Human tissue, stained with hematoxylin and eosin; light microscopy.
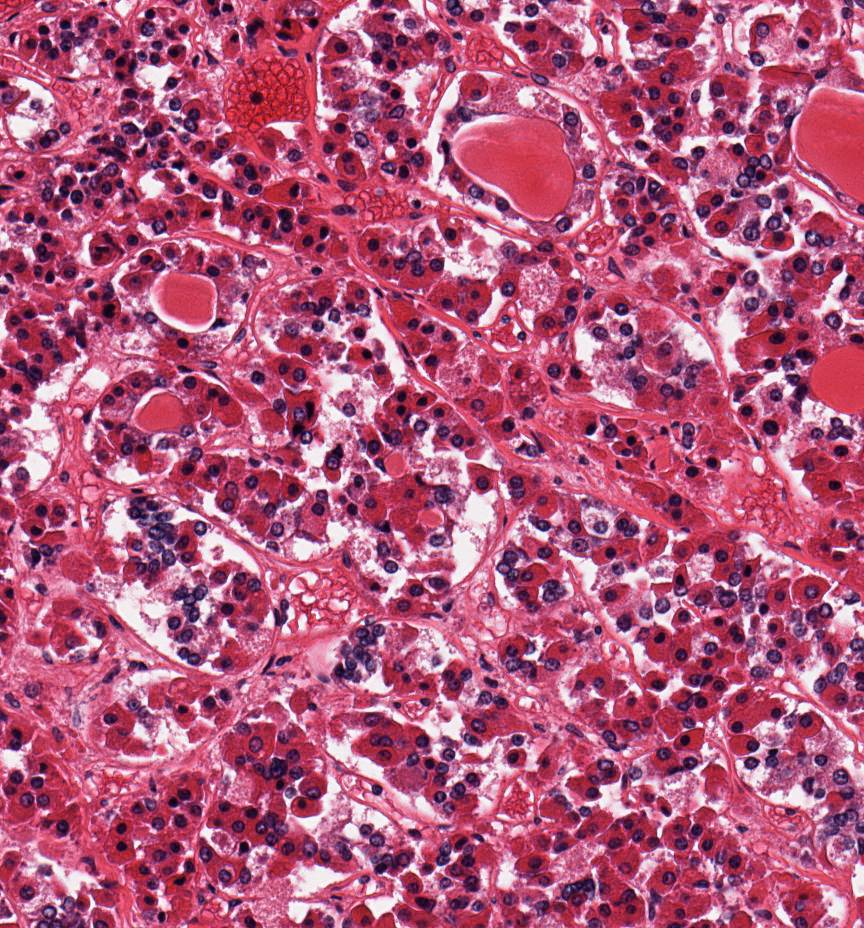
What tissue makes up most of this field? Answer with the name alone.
pars distalis of the pituitary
